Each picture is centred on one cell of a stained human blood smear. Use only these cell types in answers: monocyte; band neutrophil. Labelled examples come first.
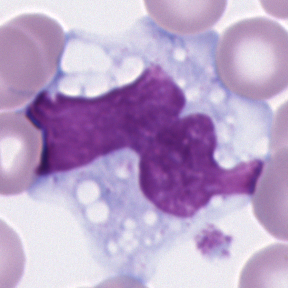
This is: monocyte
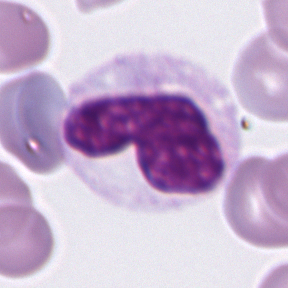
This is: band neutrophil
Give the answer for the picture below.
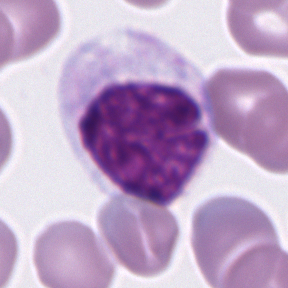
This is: band neutrophil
